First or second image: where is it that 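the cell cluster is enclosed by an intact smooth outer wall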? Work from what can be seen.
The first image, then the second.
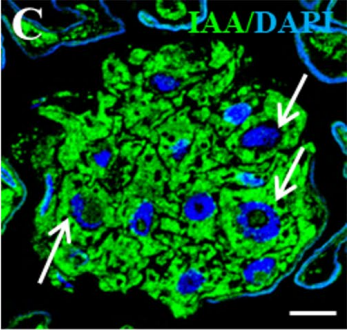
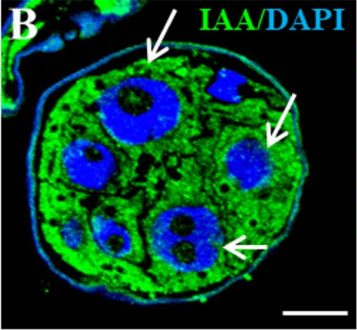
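First image: the cell mass has an irregular edge with no continuous wall around it. Second image: a smooth continuous wall encircles the whole cell cluster.
The second image.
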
